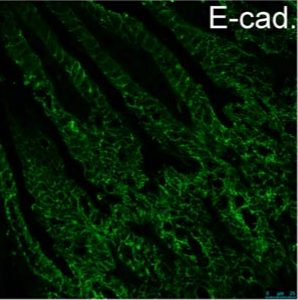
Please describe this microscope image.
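Small intestinal mucosa with long villi running diagonally, separated by dark lumen clefts. Epithelial cells are outlined by green membrane staining, giving a honeycomb pattern of polygonal cell borders that is densest toward the lower right.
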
